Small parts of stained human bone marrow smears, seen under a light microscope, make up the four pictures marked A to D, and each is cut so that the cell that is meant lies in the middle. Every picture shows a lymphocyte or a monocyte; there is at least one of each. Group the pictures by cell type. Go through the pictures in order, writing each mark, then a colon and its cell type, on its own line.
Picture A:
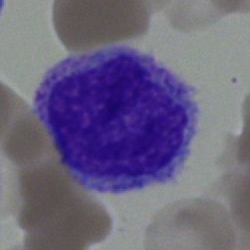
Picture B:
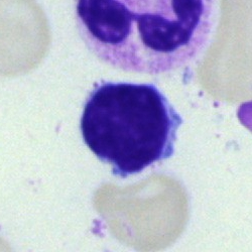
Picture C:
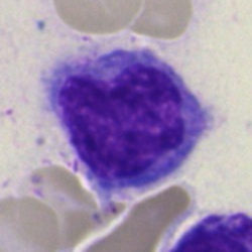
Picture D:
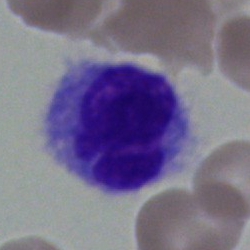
A: monocyte
B: lymphocyte
C: monocyte
D: monocyte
